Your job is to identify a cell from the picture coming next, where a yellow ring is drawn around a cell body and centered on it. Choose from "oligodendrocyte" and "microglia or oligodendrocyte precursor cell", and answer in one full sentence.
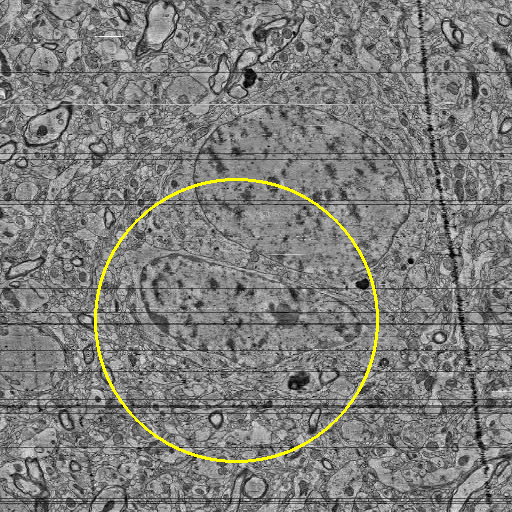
Centered in the yellow ring of the picture is the body of a microglial cell or oligodendrocyte precursor cell.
